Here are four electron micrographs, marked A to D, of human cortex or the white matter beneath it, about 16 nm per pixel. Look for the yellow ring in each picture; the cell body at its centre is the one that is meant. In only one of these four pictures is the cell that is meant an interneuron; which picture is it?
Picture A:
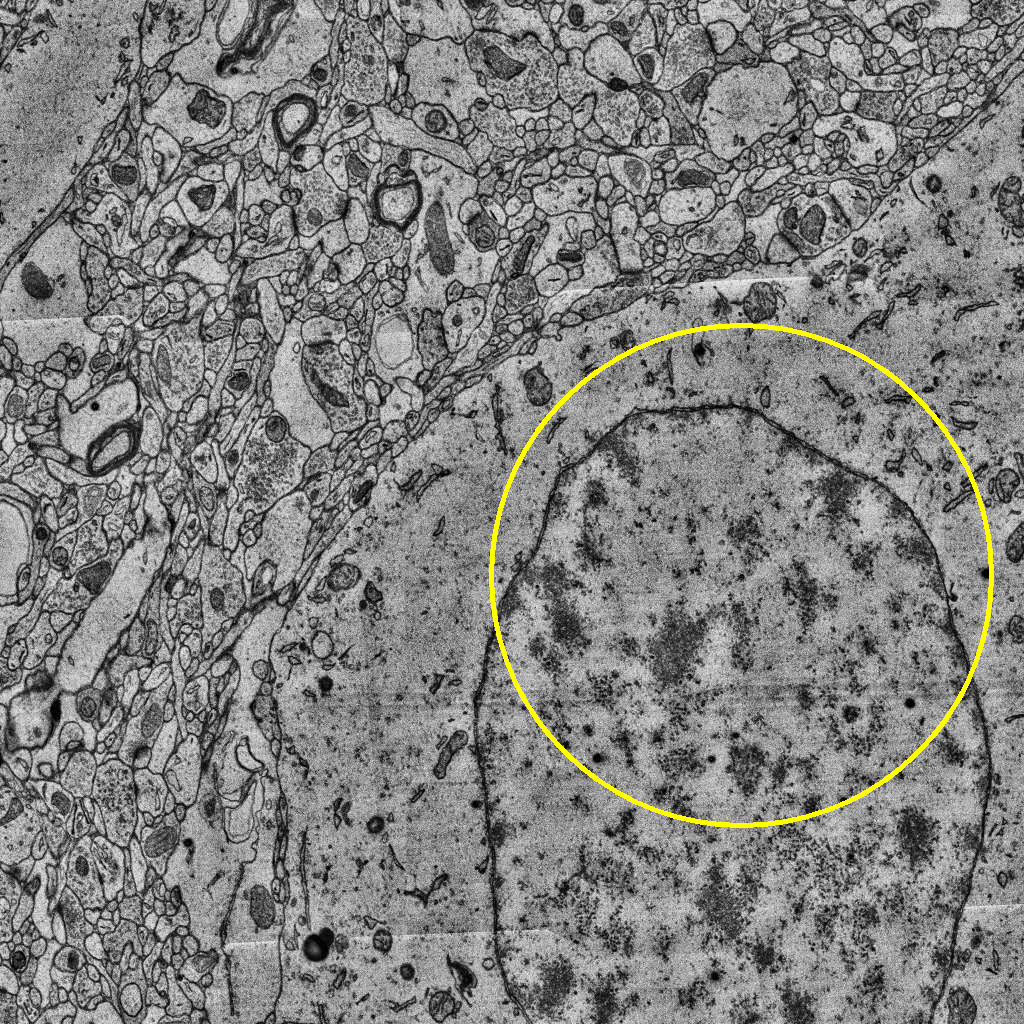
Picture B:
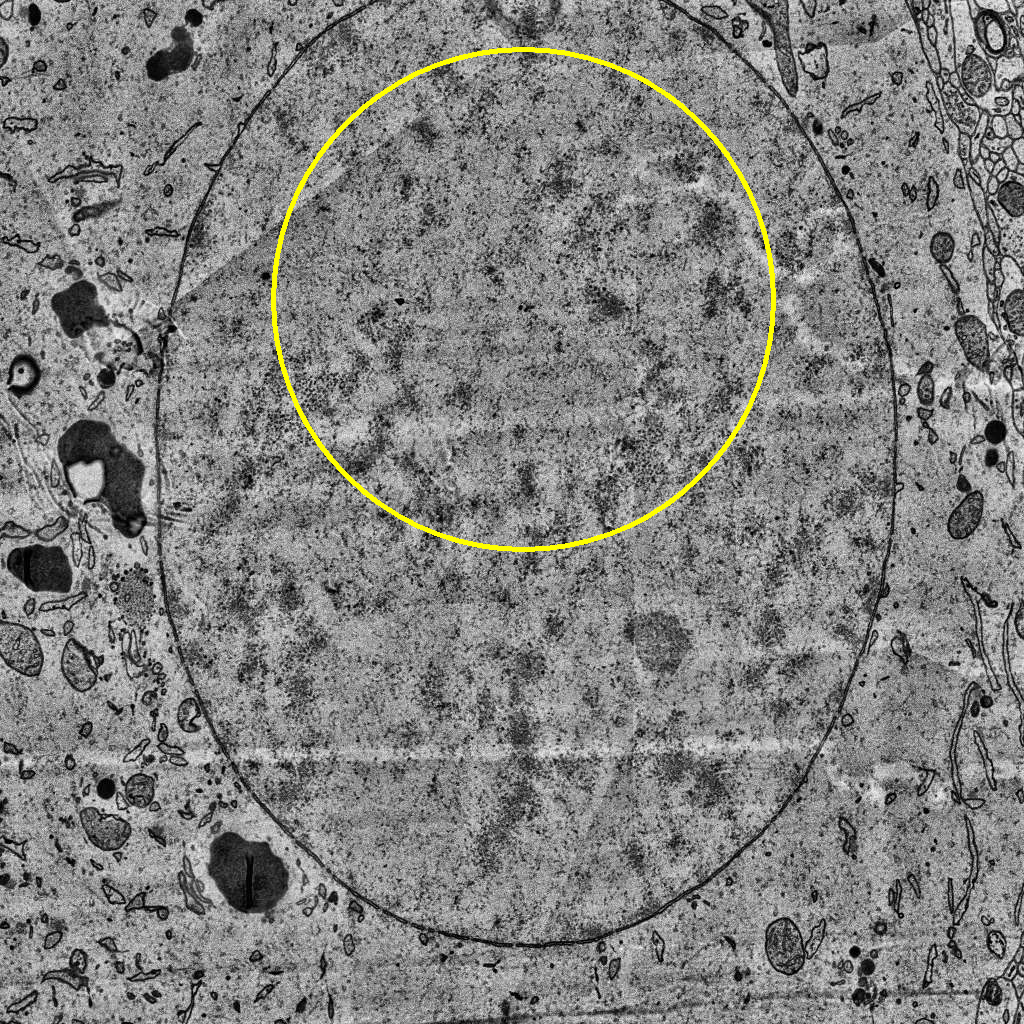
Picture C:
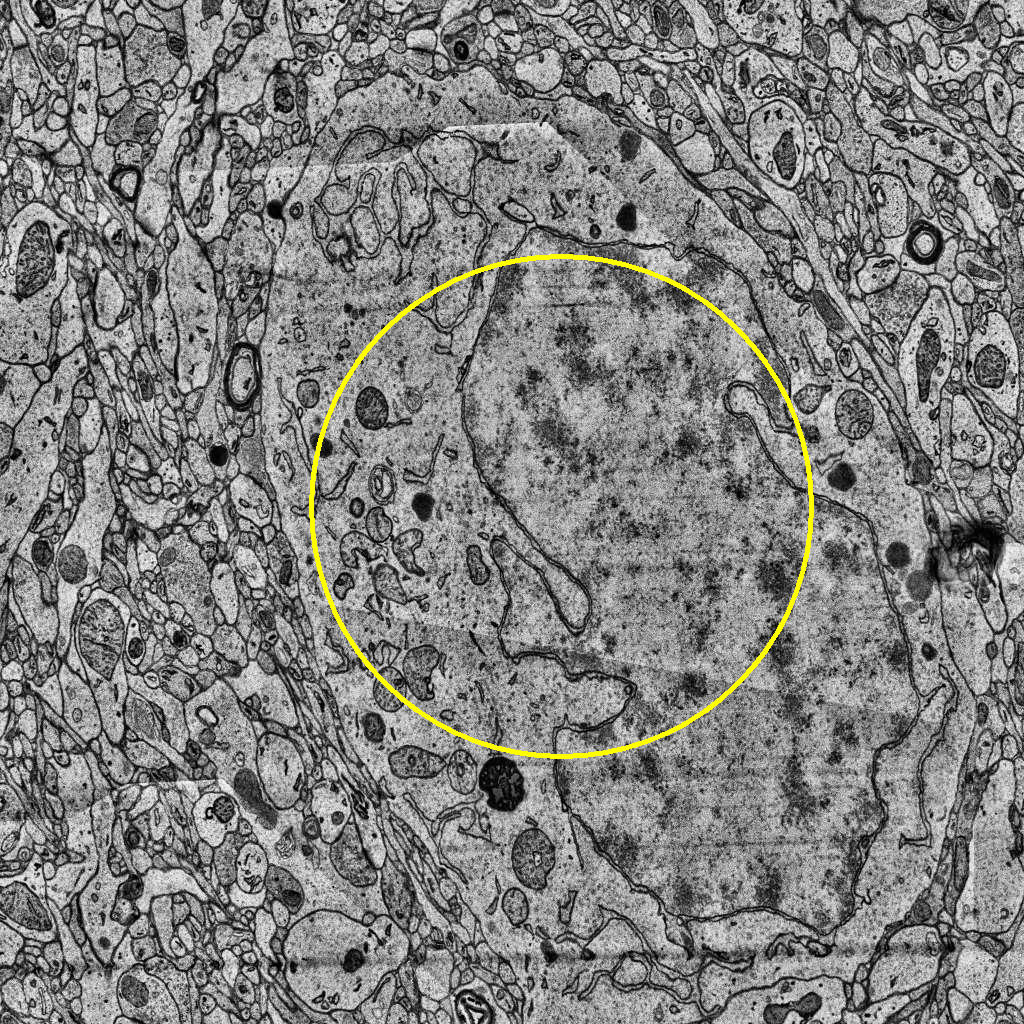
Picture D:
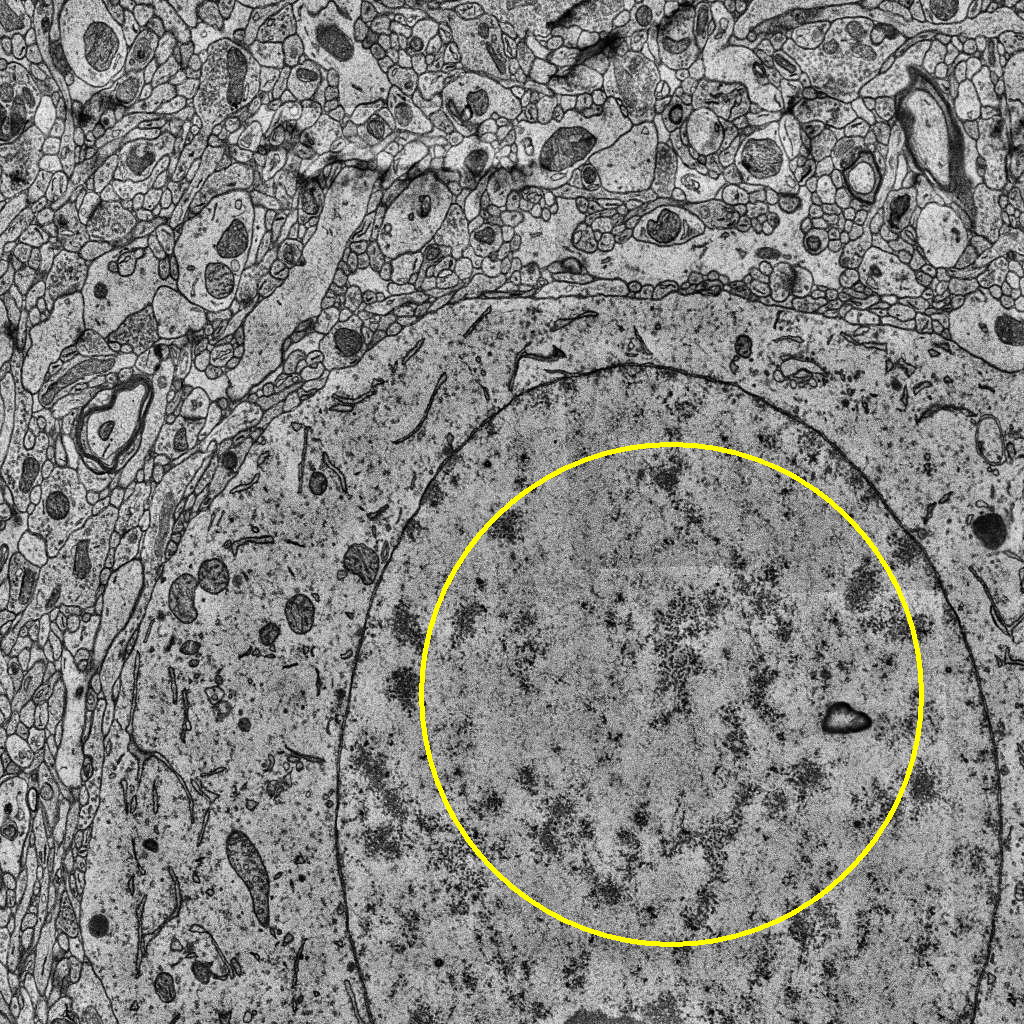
The picture with the interneuron is C.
